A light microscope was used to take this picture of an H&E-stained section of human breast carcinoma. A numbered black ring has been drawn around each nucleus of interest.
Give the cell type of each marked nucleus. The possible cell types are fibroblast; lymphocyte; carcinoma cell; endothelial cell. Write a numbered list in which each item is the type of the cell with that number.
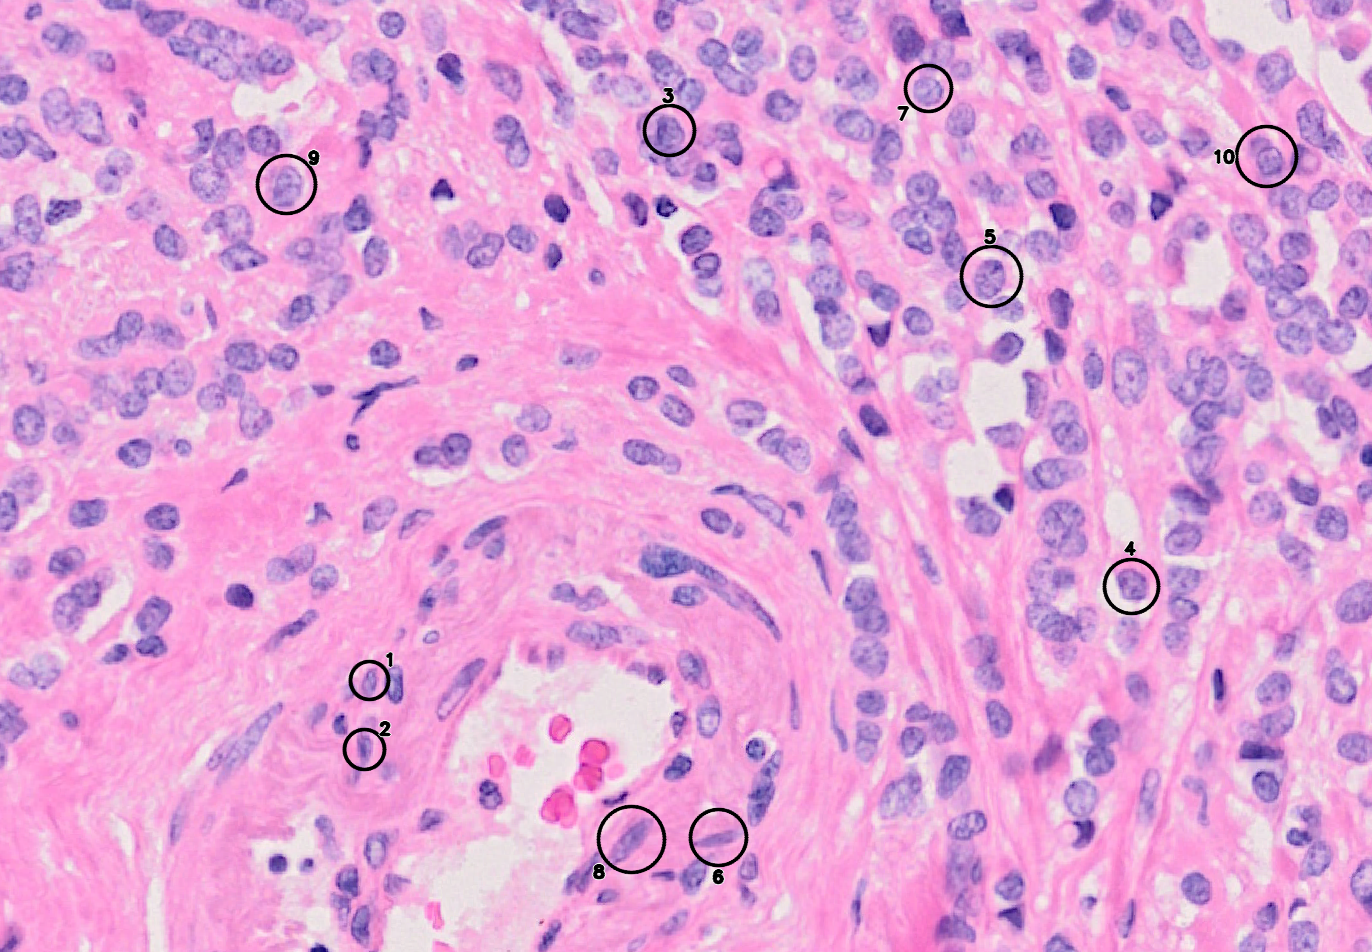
1. endothelial cell
2. endothelial cell
3. carcinoma cell
4. carcinoma cell
5. carcinoma cell
6. endothelial cell
7. carcinoma cell
8. endothelial cell
9. carcinoma cell
10. carcinoma cell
